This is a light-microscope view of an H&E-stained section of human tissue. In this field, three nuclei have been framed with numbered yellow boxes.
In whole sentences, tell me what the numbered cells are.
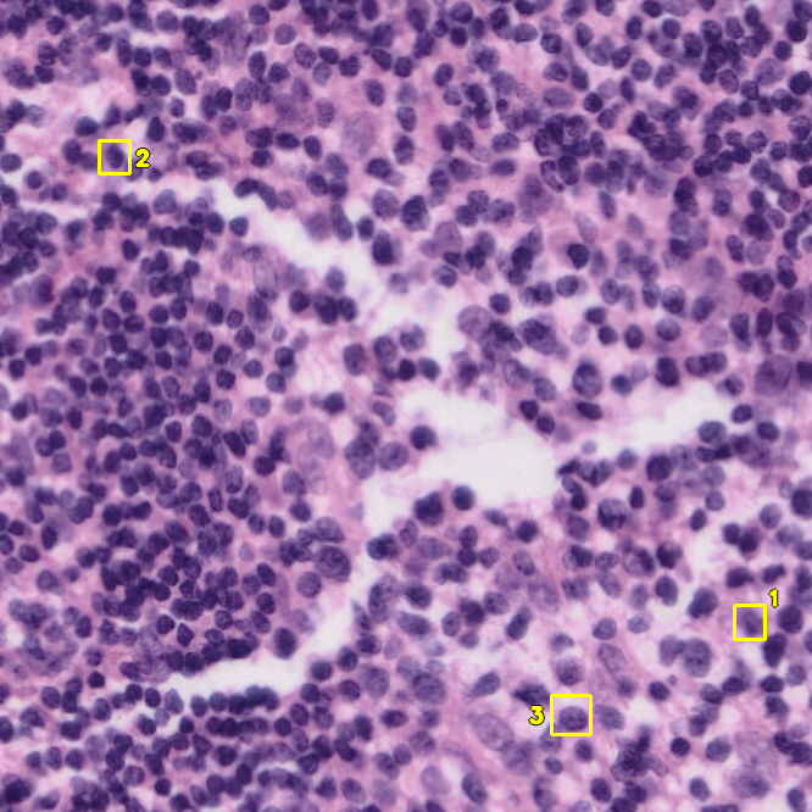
Cell 1 is a proliferating B cell, cell 2 is a small lymphocyte and cell 3 is a proliferating B cell.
